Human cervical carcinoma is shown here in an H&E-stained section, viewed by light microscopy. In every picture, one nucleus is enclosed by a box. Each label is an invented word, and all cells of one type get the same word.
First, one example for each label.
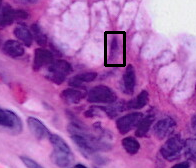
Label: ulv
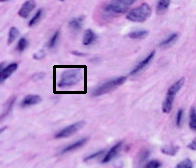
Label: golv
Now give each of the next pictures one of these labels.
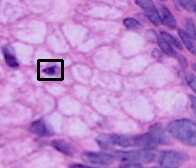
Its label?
ulv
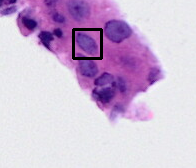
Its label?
ulv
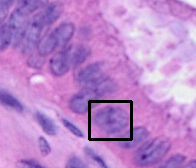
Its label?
ulv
